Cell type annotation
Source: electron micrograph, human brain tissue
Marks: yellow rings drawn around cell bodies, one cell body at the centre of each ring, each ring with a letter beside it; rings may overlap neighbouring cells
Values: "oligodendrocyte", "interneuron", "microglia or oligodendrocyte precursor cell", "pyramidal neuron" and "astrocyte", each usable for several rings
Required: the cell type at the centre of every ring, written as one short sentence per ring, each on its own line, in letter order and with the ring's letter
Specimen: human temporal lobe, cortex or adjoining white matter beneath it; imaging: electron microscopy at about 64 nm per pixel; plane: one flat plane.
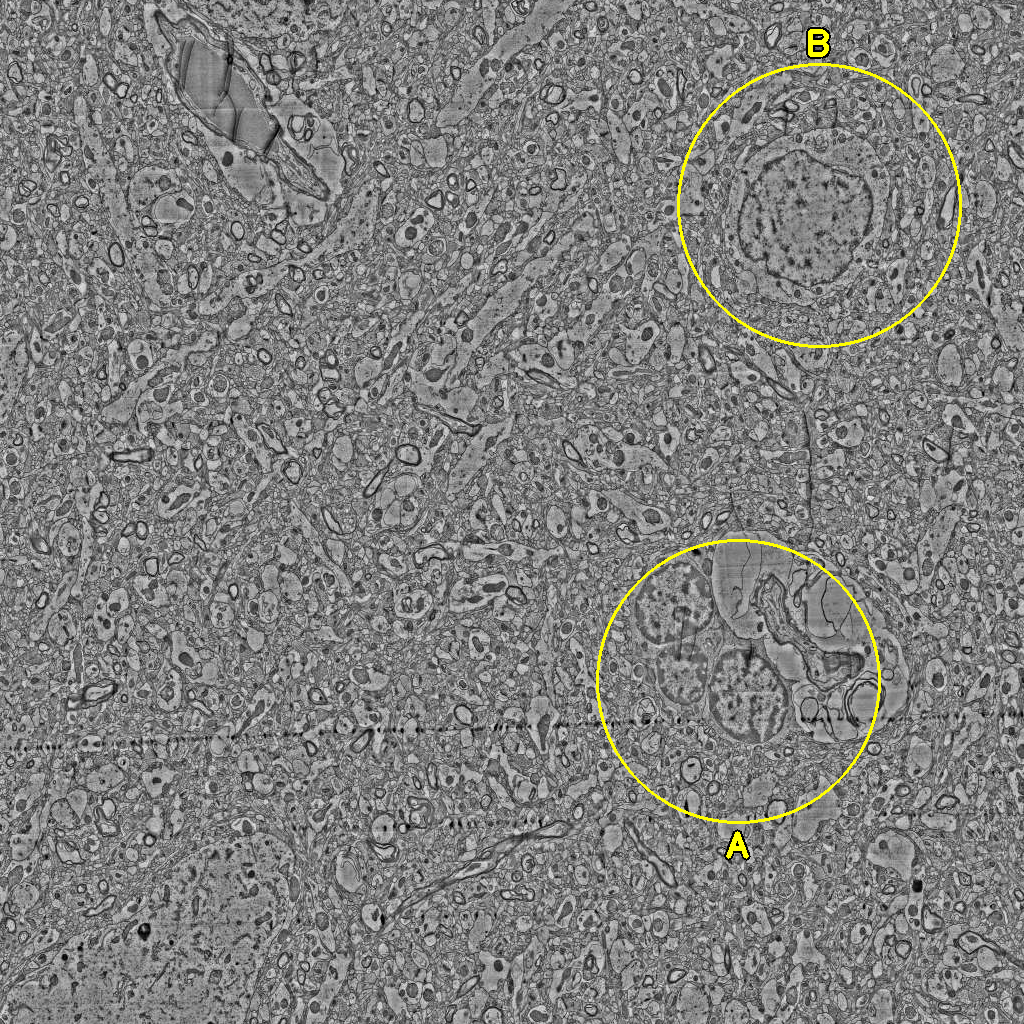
Ring A is annotated as an oligodendrocyte.
Ring B is annotated as an interneuron.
